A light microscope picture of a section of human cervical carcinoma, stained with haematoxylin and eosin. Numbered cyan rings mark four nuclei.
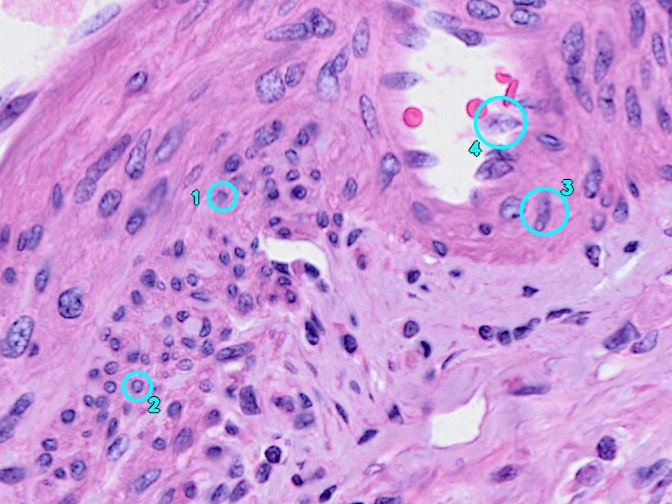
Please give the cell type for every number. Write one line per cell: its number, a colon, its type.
1: smooth muscle cell
2: smooth muscle cell
3: smooth muscle cell
4: endothelial cell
